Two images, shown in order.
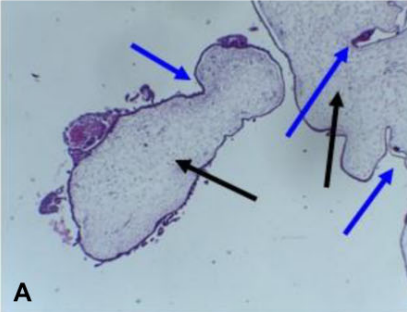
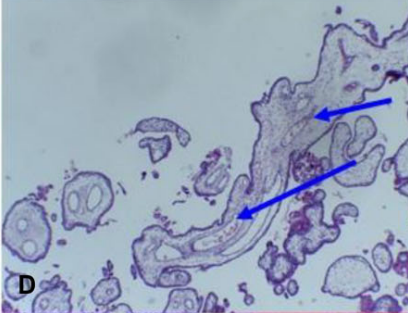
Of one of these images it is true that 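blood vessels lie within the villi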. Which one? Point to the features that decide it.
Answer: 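The second image. First image: villous stroma is pale and uniform with no vessel channels. Second image: elongated vessel channels, some with red cells, run within the villous stroma.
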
